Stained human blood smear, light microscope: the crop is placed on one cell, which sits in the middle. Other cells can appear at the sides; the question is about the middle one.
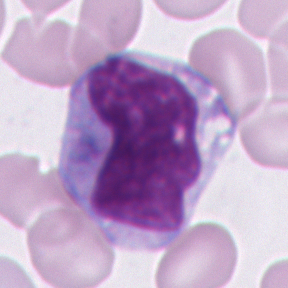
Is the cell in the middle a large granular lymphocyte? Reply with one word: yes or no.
no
